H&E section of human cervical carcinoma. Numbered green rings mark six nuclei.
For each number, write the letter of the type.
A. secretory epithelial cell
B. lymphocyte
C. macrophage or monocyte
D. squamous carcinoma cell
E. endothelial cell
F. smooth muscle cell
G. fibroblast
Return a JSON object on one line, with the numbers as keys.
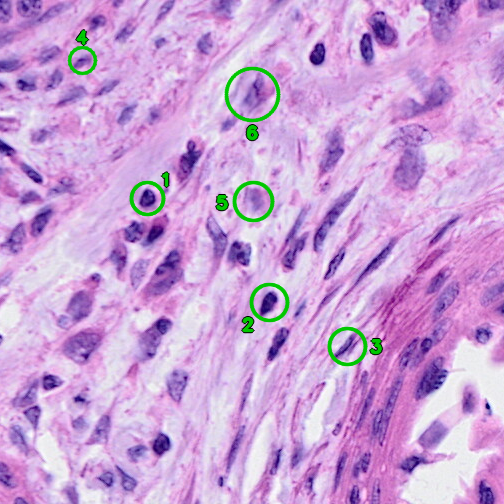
{"1": "B", "2": "B", "3": "G", "4": "G", "5": "G", "6": "G"}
